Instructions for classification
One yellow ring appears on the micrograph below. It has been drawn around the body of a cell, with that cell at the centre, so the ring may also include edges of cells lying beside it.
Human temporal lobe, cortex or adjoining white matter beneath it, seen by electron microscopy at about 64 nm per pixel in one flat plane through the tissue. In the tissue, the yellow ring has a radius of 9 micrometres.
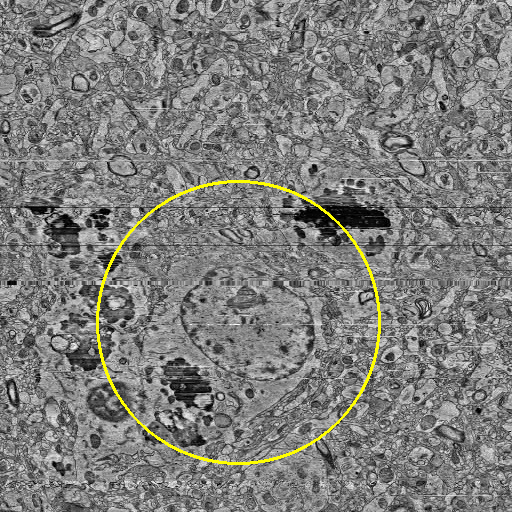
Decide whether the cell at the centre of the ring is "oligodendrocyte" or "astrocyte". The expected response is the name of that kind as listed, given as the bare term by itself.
astrocyte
